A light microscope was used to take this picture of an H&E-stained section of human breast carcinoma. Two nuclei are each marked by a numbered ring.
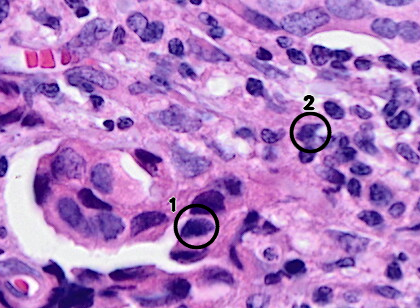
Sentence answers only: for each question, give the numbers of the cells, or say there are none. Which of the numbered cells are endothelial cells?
Honestly, none of the numbered cells are endothelial cells.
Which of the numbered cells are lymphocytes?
There is just one numbered cell that is a lymphocyte, and it is cell 2.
